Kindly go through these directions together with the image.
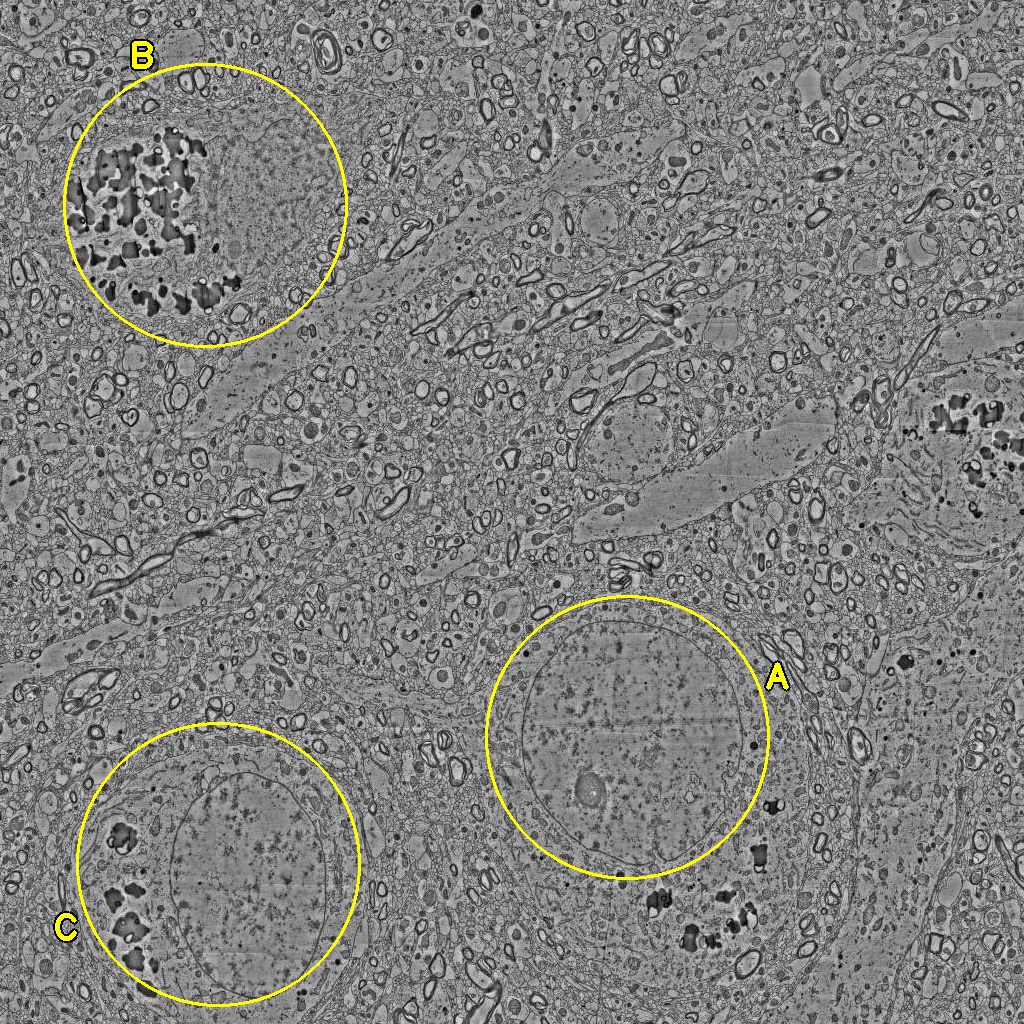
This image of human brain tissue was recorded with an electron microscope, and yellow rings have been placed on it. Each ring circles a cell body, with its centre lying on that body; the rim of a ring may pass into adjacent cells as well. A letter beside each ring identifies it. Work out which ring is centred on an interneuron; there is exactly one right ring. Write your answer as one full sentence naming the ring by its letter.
Ring B is the one whose centre lies on a cell of that kind.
